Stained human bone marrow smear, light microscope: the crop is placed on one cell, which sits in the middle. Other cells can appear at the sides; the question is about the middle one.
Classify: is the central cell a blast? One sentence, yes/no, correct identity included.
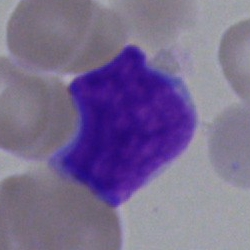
Yes, the central cell here is a blast.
